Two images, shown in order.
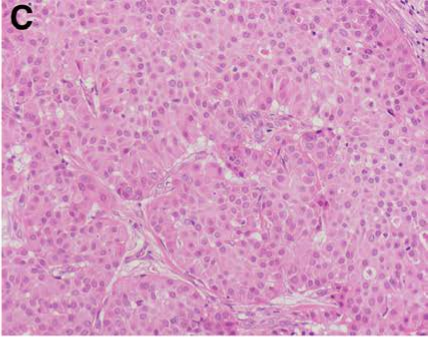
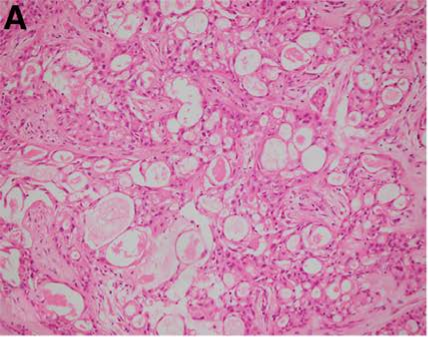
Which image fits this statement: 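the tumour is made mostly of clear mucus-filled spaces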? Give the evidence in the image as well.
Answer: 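First image: solid sheets of pink polygonal cells with almost no clear spaces. Second image: numerous round clear spaces of varied size throughout the field. The answer: the second image.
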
